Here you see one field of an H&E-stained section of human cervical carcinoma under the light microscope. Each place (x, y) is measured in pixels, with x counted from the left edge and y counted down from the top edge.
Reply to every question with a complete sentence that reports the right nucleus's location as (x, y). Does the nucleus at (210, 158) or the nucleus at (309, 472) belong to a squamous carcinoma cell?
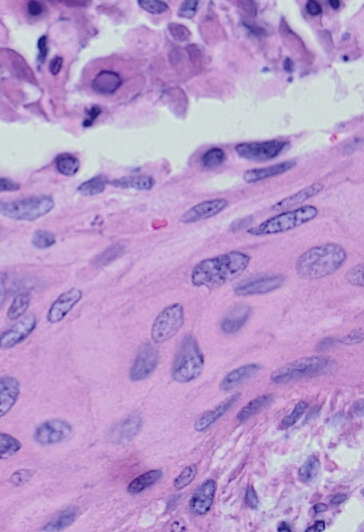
The nucleus positioned at (210, 158) forms part of a squamous carcinoma cell.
